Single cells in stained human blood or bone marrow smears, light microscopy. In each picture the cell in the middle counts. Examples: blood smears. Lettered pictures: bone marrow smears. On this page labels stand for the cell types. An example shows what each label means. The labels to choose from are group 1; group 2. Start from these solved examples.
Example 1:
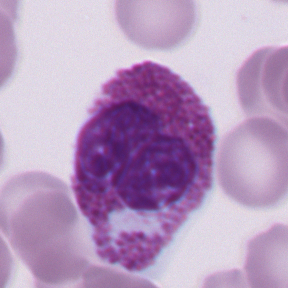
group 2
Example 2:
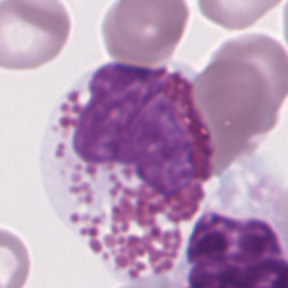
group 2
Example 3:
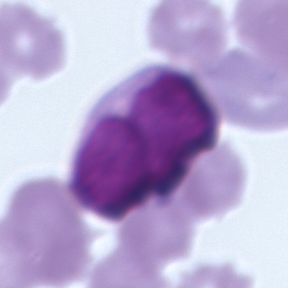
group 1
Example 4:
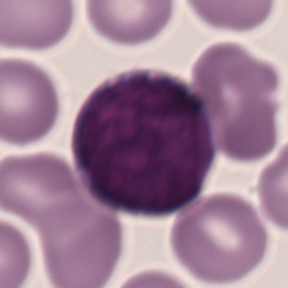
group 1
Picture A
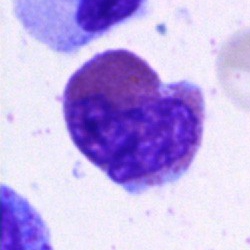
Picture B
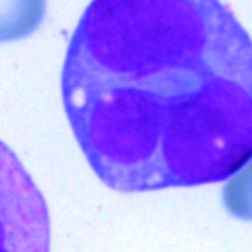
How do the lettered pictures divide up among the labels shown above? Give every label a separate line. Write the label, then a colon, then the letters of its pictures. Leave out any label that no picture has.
group 1: B
group 2: A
